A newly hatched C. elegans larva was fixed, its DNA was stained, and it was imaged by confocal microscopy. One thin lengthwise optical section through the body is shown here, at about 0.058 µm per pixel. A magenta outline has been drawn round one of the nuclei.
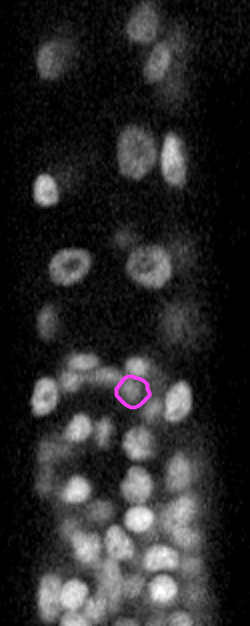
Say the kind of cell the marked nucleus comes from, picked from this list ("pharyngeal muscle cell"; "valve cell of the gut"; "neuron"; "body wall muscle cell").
pharyngeal muscle cell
